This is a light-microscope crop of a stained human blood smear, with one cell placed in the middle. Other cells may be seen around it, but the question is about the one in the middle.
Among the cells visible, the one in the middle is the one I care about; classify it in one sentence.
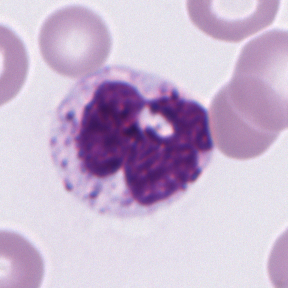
At the center of the crop sits a basophil.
